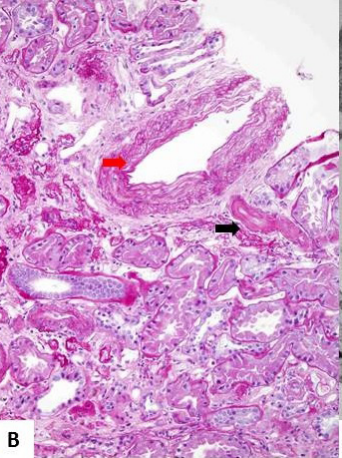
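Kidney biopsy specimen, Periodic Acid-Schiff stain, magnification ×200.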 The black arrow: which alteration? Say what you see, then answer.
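The black arrow points to a small vessel whose wall holds glassy, bright magenta, homogeneous material.
Conclusion: arteriolar hyalinosis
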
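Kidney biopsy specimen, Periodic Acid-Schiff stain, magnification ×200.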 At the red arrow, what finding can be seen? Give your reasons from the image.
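The red arrow points to the wall of a larger artery with an open lumen. The inner layer of the wall is thickened by pale fibrous tissue.
Answer: arterial fibrointimal thickening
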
